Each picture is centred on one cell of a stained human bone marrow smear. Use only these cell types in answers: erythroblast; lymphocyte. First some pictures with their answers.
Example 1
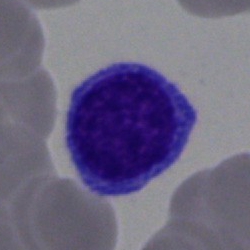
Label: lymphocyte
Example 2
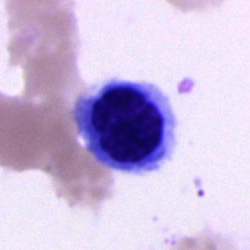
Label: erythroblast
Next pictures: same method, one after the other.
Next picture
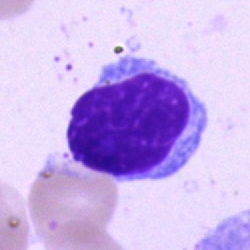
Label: lymphocyte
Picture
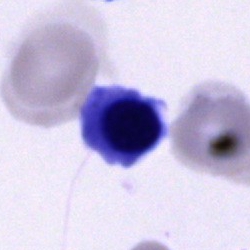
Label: erythroblast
